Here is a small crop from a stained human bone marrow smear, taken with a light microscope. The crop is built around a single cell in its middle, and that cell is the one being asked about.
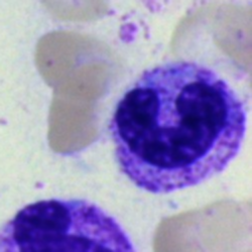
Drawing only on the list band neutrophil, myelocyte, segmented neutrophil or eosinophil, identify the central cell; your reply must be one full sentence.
The cell around which this crop is centred is a band neutrophil.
